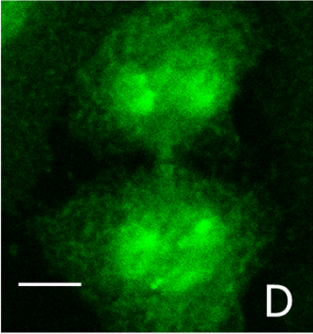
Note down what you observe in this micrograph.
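Two daughter cells at the end of division lie mirrored one above the other, joined by a thin intercellular bridge. Green fluorescence fills both cells diffusely, with a finer meshwork in the cytoplasm. In the middle of each cell, where the reforming nucleus lies, the green signal is brighter and gathers into a few irregular bright clumps.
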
